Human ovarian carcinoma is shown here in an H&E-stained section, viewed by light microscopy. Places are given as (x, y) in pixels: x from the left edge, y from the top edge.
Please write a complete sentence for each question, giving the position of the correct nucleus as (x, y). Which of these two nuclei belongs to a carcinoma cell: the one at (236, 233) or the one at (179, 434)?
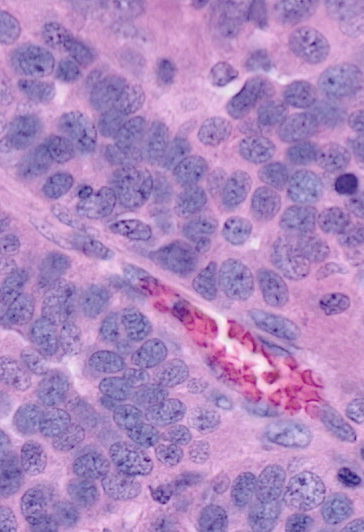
The nucleus at (179, 434) is the one of the two that belongs to a carcinoma cell.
